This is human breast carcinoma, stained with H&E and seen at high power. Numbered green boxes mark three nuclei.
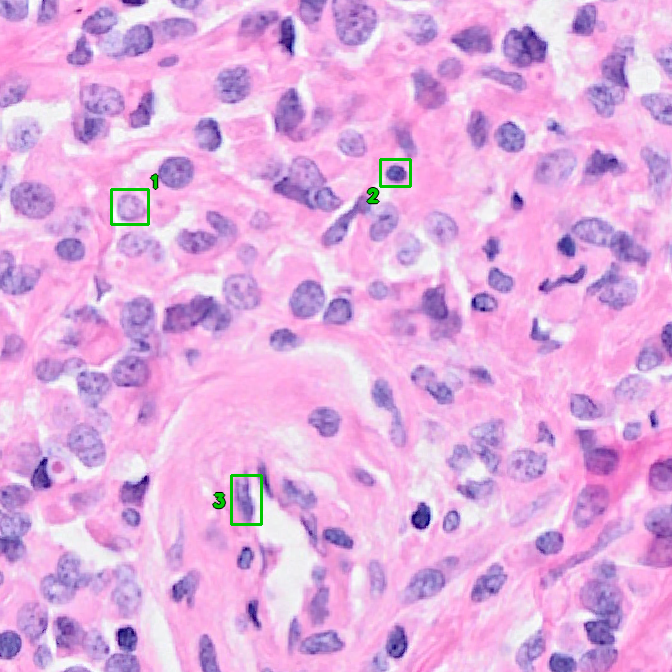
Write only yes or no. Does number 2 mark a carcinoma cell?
no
